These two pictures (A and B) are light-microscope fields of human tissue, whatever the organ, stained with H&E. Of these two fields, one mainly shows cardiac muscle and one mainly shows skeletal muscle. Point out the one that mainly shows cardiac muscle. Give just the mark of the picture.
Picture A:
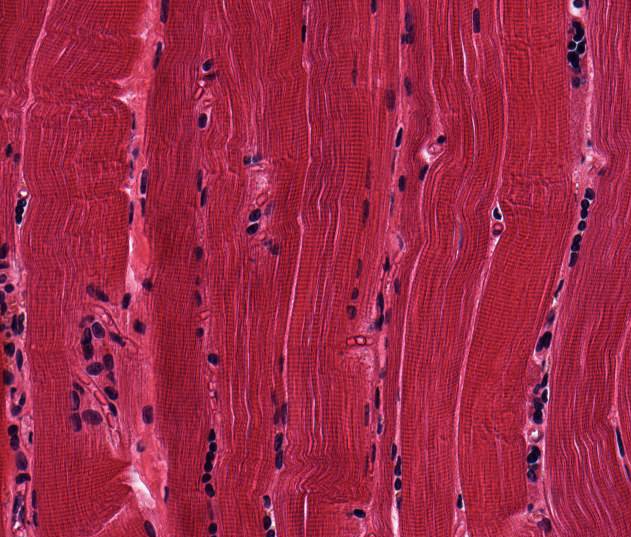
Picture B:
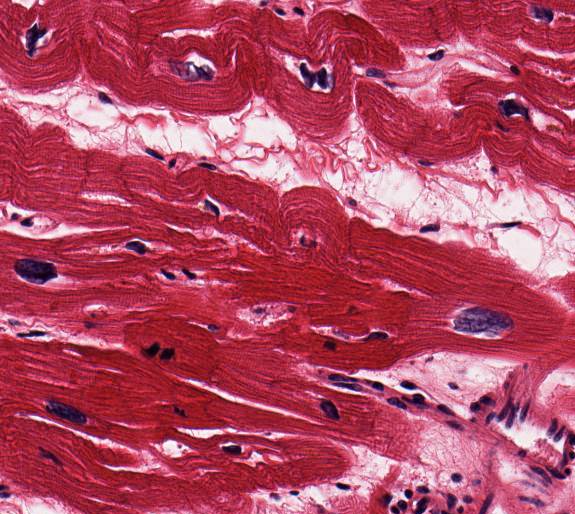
B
